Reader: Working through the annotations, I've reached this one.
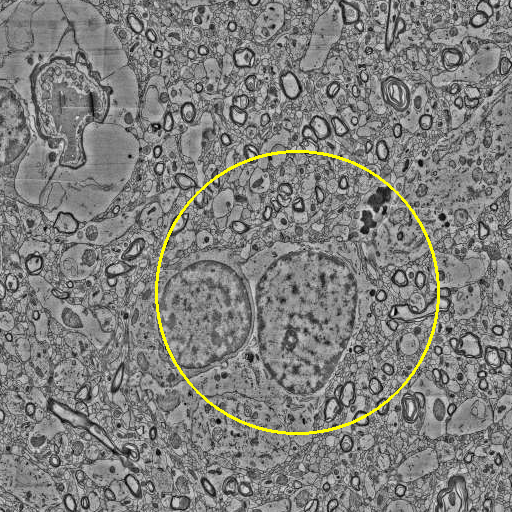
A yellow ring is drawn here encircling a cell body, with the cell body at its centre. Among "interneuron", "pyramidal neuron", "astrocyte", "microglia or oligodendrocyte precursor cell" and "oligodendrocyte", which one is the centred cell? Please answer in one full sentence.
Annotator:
The cell body at the centre of the yellow ring in this image belongs to a microglial cell or oligodendrocyte precursor cell.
